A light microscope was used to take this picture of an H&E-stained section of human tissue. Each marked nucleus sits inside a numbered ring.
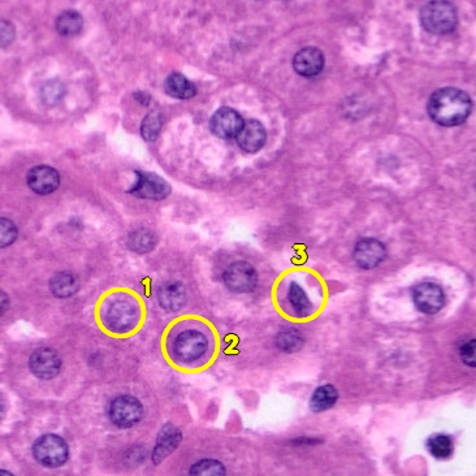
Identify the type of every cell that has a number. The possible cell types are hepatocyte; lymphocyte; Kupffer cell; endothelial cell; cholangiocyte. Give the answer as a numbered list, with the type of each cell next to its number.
1. hepatocyte
2. hepatocyte
3. endothelial cell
